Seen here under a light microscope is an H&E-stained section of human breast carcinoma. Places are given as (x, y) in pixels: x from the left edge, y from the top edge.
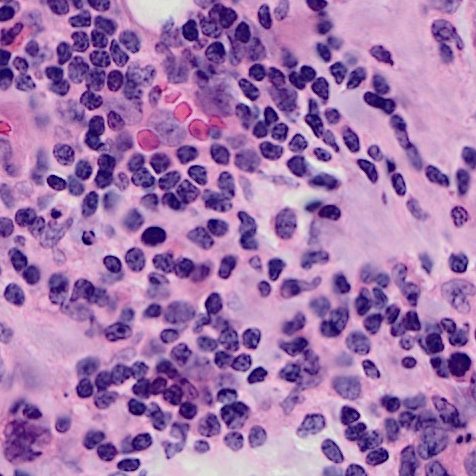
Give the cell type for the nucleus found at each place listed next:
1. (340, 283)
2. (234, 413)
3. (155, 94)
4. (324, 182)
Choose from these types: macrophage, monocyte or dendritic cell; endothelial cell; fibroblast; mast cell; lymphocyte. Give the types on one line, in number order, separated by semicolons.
lymphocyte; lymphocyte; endothelial cell; lymphocyte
